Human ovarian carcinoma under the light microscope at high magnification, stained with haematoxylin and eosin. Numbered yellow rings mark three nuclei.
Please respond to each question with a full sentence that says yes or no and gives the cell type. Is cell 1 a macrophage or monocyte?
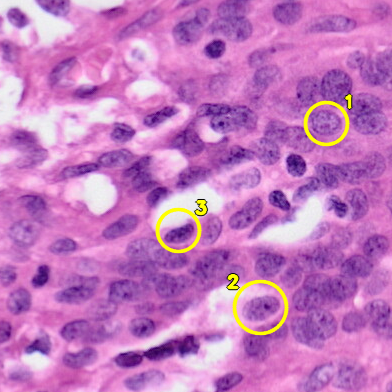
No, cell 1 should be classed as a carcinoma cell, not as a macrophage or monocyte.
